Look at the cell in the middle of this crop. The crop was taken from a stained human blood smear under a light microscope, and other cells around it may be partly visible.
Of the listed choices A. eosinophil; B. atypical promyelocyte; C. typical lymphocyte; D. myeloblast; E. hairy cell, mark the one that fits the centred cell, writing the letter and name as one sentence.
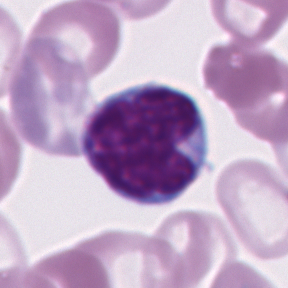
The central cell is a typical lymphocyte, which makes option C the right answer.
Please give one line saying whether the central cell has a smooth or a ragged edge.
The border of this cell runs smooth and free of any projections.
